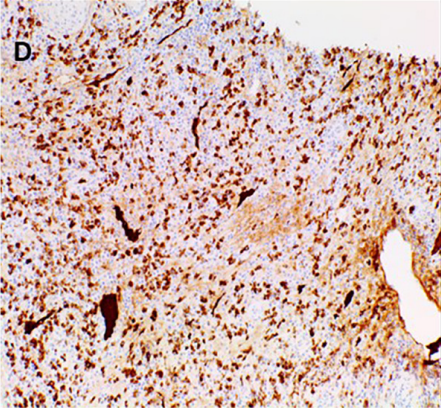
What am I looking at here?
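The brown cells are single, round to oval, and scattered densely across the field. Between them lie unstained cells with pale blue nuclei and a faint brownish background. An open vessel lumen lies at the right edge, and a few dark brown elongated deposits are seen among the cells.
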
